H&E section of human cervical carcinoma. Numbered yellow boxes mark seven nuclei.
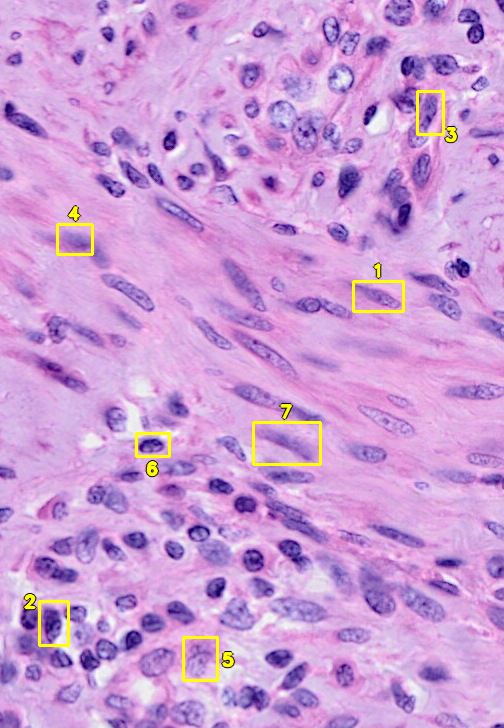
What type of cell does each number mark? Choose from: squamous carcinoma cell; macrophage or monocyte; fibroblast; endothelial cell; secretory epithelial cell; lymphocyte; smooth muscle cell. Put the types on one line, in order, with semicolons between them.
smooth muscle cell; lymphocyte; endothelial cell; smooth muscle cell; endothelial cell; lymphocyte; smooth muscle cell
